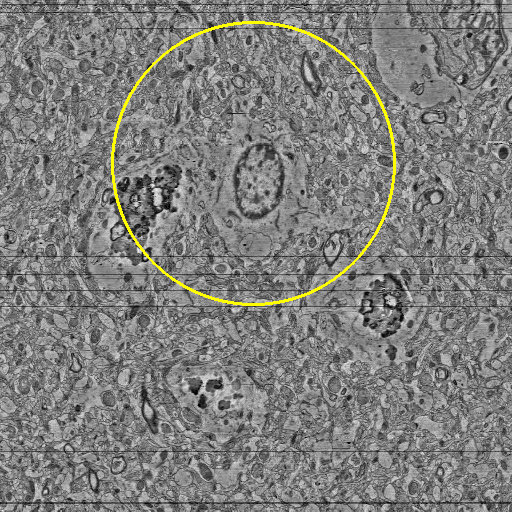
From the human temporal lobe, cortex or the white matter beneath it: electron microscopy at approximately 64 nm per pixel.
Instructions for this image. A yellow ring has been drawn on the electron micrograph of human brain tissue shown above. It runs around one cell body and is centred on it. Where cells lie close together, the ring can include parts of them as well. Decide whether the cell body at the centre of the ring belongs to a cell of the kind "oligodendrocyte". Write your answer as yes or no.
no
